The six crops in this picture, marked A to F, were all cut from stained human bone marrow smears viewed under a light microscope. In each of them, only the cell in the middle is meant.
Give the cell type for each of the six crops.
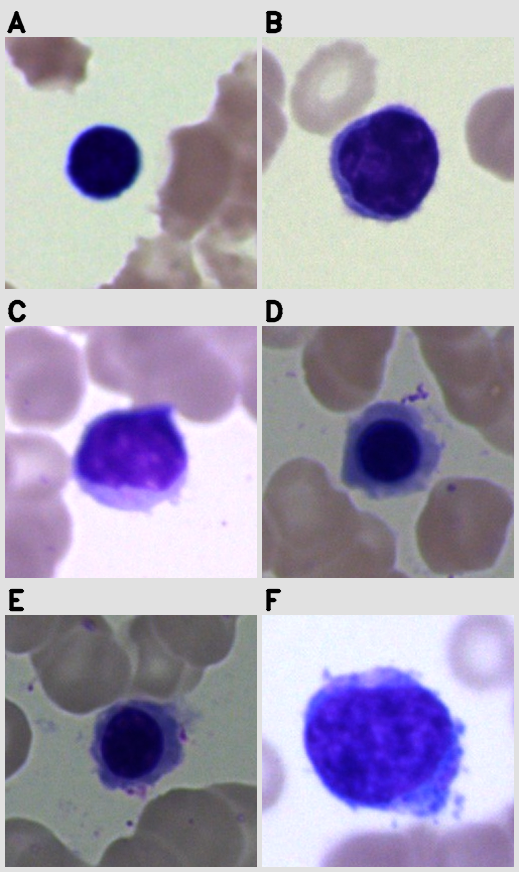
A: lymphocyte
B: lymphocyte
C: lymphocyte
D: erythroblast
E: erythroblast
F: blast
